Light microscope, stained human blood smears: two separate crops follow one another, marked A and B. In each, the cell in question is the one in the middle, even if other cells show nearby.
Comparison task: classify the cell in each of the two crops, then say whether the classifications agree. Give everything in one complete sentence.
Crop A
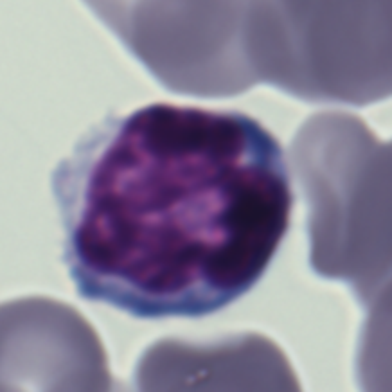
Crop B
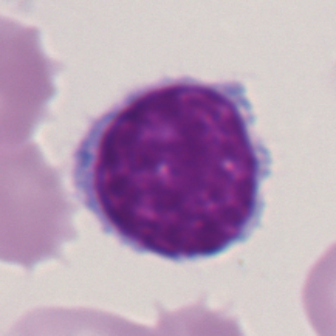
Yes, at the centre of both crops are typical lymphocytes.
